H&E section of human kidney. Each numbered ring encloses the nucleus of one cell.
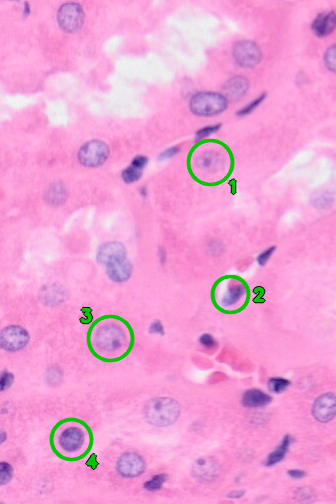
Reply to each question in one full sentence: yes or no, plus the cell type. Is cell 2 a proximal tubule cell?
No, the cell given number 2 is an endothelial cell, not a proximal tubule cell.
